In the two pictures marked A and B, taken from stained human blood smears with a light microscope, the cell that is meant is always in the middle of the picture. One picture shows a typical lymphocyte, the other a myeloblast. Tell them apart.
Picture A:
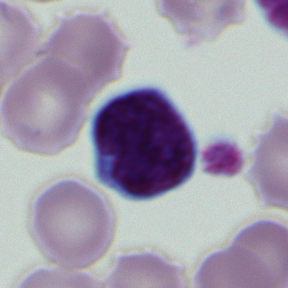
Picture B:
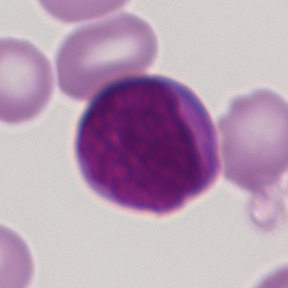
A: typical lymphocyte
B: myeloblast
